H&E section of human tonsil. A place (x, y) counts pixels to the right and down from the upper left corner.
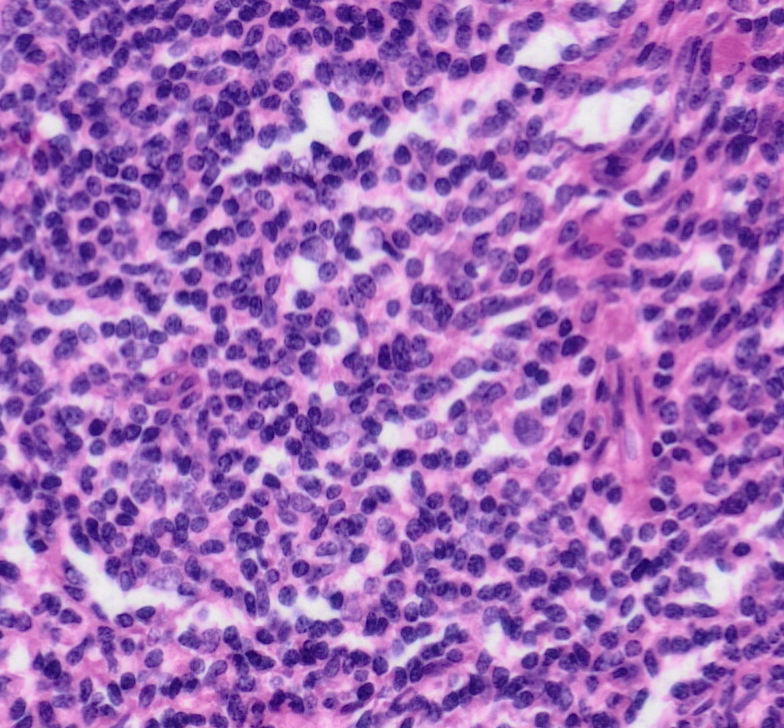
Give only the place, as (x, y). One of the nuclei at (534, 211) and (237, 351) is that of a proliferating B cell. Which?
(534, 211)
